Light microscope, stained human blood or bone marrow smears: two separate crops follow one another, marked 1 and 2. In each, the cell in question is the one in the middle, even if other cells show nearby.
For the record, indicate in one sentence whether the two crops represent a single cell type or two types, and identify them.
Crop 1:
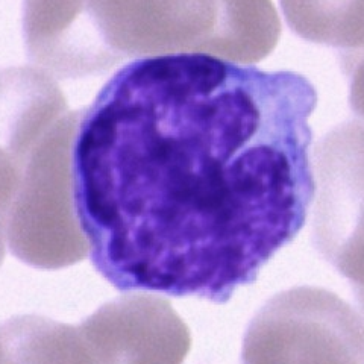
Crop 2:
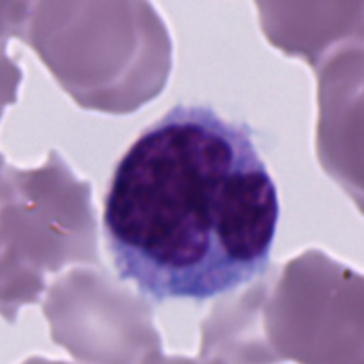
No, the cell at the middle of crop 1 is a monocyte, while crop 2 centres on a hairy cell.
